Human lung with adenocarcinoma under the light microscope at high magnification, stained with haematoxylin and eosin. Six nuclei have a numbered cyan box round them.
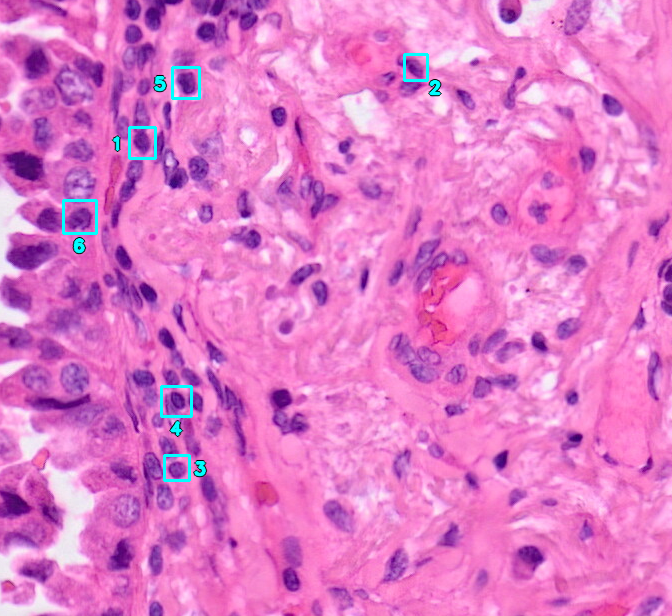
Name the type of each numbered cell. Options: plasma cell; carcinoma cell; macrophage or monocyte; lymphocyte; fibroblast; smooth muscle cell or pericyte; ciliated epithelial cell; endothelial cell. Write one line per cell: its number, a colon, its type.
1: lymphocyte
2: smooth muscle cell or pericyte
3: lymphocyte
4: lymphocyte
5: lymphocyte
6: carcinoma cell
